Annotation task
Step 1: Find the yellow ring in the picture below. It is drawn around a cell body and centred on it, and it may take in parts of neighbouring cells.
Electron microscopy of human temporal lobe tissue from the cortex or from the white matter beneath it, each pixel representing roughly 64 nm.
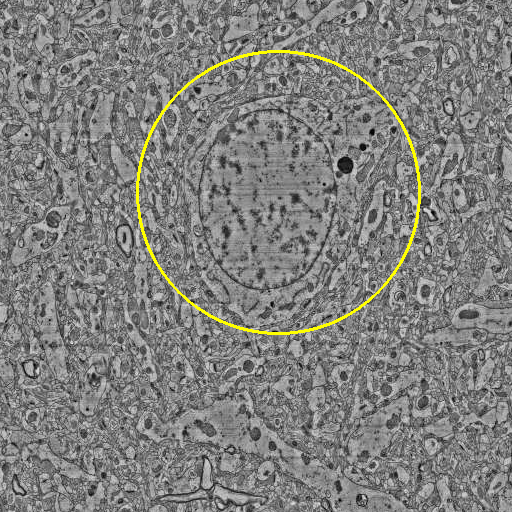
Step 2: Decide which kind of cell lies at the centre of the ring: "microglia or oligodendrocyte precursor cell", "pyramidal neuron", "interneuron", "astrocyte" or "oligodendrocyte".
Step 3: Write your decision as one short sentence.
The kind of cell at the ring's centre is a pyramidal neuron.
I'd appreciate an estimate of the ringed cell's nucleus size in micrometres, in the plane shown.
In this plane the nucleus measures roughly 12 by 9 micrometers.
